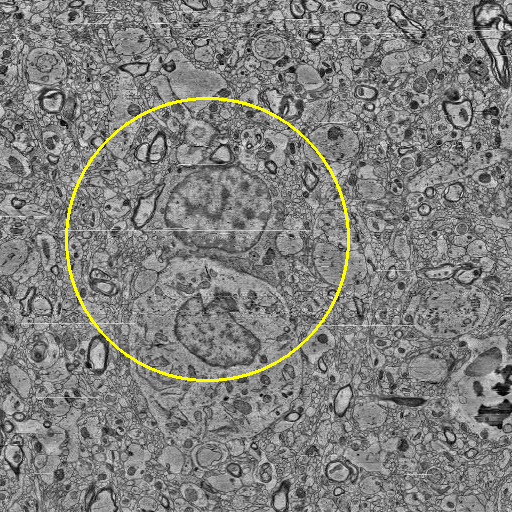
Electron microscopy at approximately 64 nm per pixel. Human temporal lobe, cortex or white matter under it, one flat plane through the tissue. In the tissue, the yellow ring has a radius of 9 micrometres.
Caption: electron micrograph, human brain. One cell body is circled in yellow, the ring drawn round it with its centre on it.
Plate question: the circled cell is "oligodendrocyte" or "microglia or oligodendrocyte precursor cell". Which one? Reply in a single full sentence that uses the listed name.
The yellow ring on the plate is centred on an oligodendrocyte, going by the listed names.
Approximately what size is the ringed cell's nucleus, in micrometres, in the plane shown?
In this plane the nucleus is about 7 micrometres across.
